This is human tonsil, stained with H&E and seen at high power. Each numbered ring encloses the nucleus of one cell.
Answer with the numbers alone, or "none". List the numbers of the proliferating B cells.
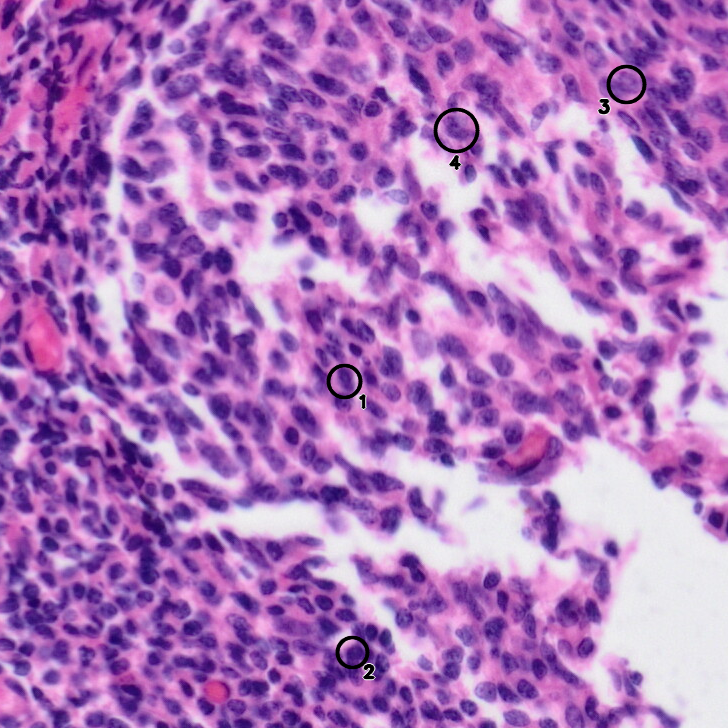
1, 3, 4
